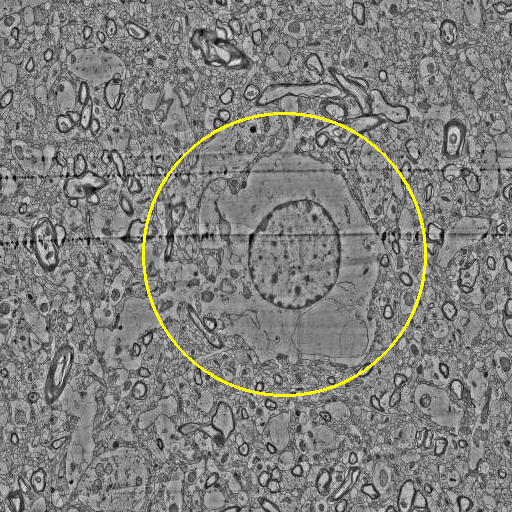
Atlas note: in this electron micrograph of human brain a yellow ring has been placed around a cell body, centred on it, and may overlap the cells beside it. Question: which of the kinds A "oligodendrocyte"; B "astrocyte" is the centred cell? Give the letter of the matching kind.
B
